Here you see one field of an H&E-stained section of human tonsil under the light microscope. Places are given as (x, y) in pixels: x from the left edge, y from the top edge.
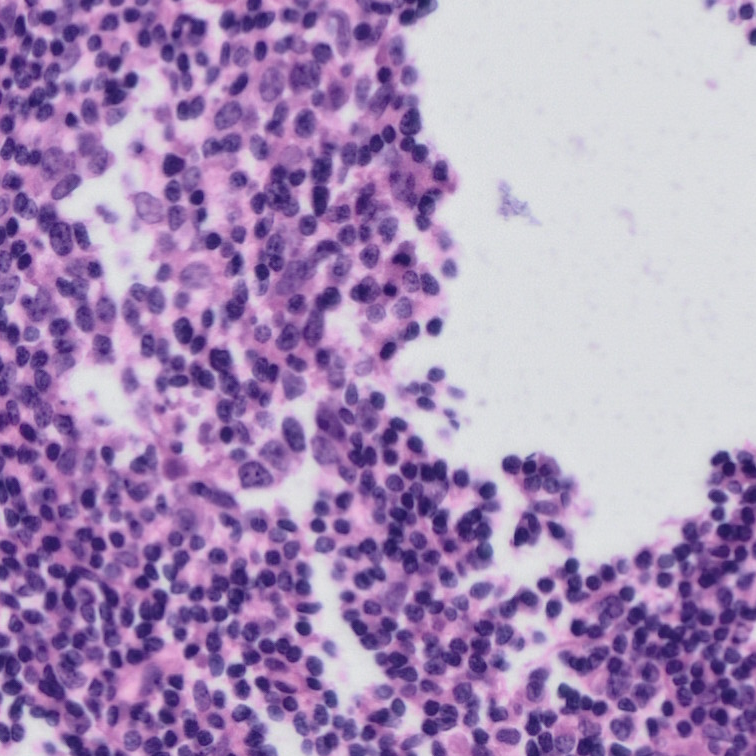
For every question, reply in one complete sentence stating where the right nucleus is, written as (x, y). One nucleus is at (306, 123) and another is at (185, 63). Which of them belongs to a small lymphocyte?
The nucleus at (185, 63) is part of a small lymphocyte, while the other is not.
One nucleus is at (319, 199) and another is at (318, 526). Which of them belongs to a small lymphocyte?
Among the two nuclei, the one lying at (318, 526) is part of a small lymphocyte.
